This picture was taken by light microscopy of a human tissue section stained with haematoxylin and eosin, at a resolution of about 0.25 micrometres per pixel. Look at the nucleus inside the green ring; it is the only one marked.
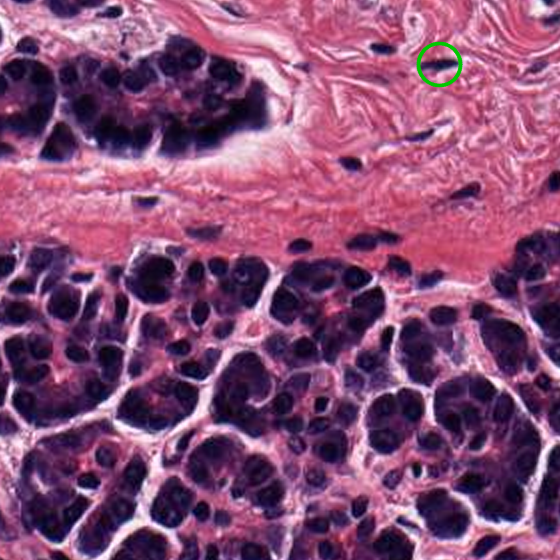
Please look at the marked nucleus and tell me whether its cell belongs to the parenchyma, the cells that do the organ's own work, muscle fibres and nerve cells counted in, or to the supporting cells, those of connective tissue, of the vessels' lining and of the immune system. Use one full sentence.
The marked nucleus is classified as belonging to a supporting cell.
